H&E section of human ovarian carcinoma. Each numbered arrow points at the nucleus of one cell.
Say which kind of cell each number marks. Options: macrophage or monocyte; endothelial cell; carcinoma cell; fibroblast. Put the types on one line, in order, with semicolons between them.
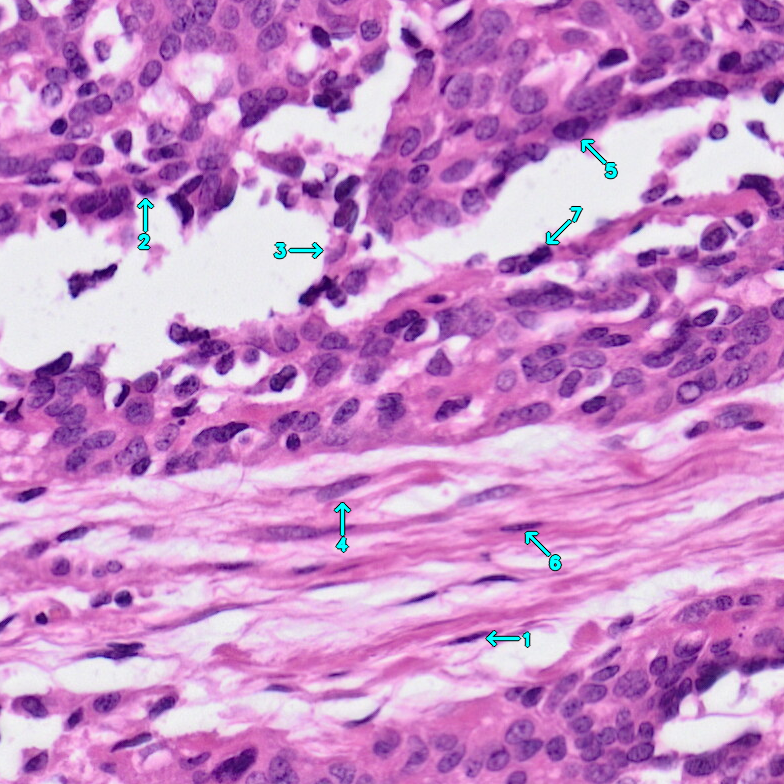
fibroblast; carcinoma cell; macrophage or monocyte; fibroblast; carcinoma cell; fibroblast; carcinoma cell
